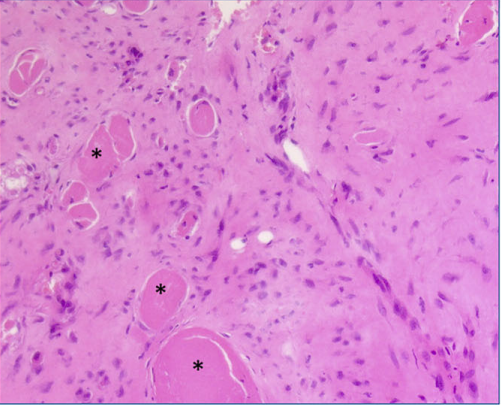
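This field shows skeletal muscle fibers trapped within a proliferation of fibroblasts. Cut in cross section, the myofibers appear as rounded, homogeneous pink profiles that vary markedly in diameter. The spindle-cell nuclei look uniform, without obvious atypia, and no inflammatory infiltrate is evident.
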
